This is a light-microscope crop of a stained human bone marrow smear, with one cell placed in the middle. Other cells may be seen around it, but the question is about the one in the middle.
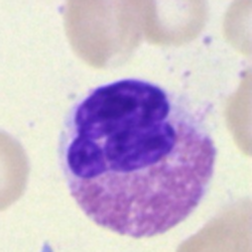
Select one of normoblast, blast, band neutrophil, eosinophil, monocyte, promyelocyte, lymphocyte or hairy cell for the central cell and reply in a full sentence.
The central cell shown in this smear crop is an eosinophil.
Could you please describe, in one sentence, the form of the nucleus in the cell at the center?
Multiple nuclear lobes, two or more, can be counted in this cell.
